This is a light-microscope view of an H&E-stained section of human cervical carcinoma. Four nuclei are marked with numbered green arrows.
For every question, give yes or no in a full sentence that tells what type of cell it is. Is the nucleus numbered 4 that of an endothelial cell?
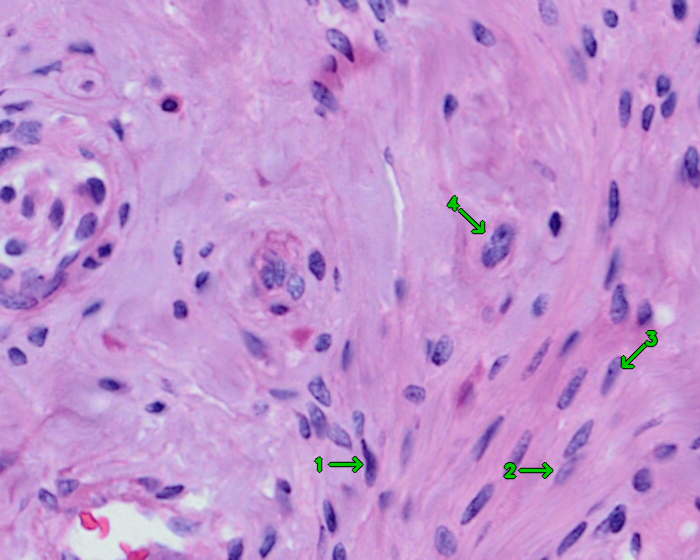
Yes, the cell that bears number 4 is an endothelial cell.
